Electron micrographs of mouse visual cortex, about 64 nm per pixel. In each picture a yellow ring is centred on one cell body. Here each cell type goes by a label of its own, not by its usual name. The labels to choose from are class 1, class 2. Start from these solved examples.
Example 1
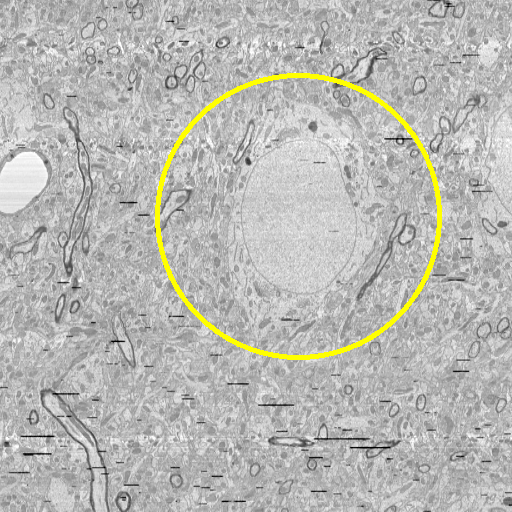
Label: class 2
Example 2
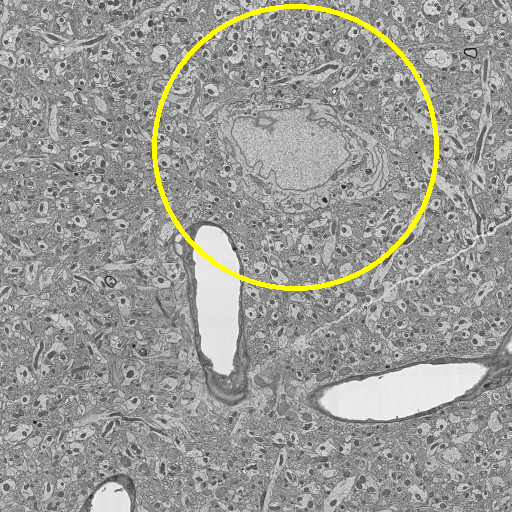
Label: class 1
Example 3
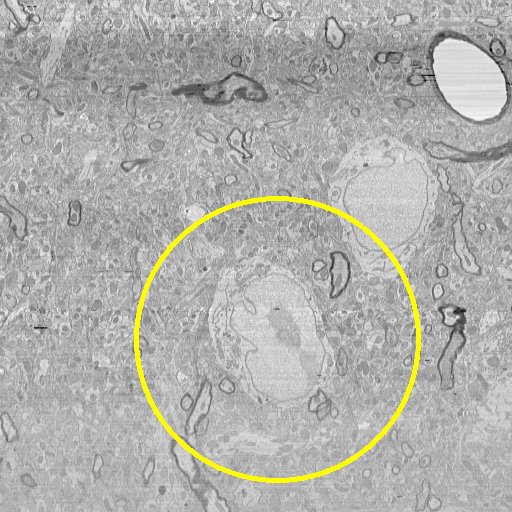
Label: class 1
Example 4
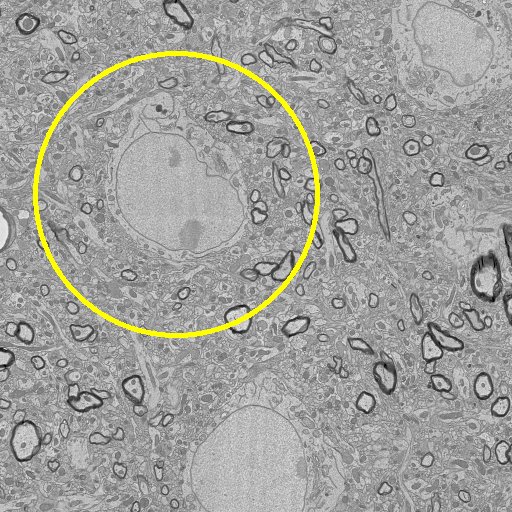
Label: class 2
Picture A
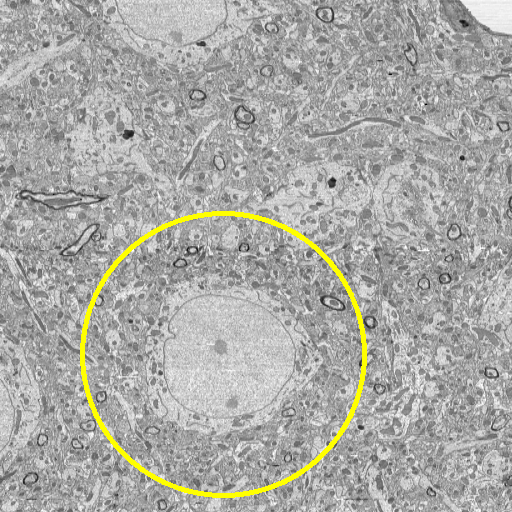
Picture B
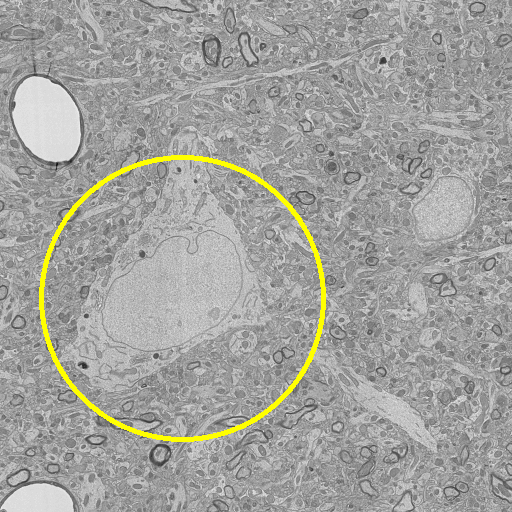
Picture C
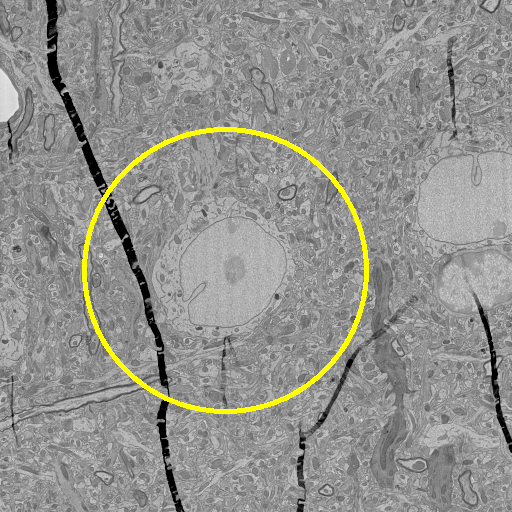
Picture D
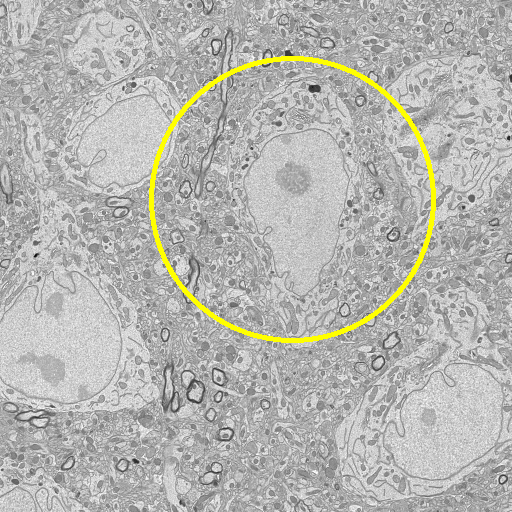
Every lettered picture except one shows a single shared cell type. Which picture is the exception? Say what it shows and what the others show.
Odd one out: D (class 1). The rest: class 2.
